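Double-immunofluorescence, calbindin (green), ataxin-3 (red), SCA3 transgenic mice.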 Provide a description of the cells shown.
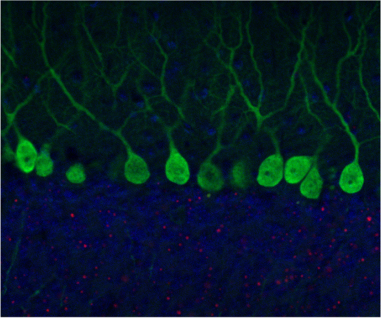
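Cerebellar cortex with a single row of Purkinje cells, their large rounded to pear-shaped cell bodies filled with green stain. Below the row lies the granular layer, densely packed with small blue nuclei, with small red puncta scattered within it but not in the Purkinje cells.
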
